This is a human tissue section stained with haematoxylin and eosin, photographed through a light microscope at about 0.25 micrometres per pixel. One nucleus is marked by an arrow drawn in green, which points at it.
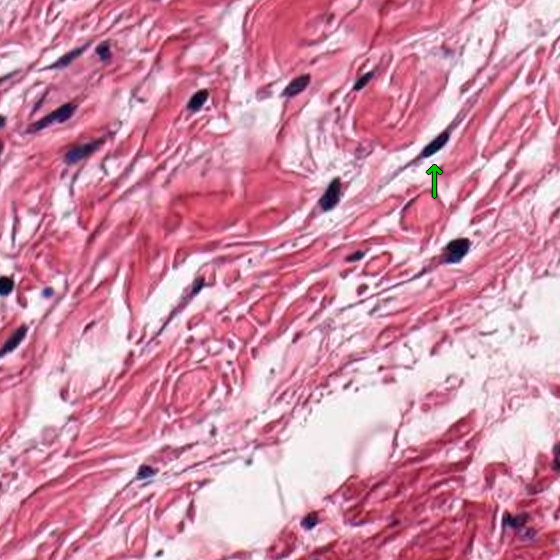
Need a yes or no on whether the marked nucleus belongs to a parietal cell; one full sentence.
No, the marked nucleus is not part of a parietal cell and instead belongs to a supporting cell.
